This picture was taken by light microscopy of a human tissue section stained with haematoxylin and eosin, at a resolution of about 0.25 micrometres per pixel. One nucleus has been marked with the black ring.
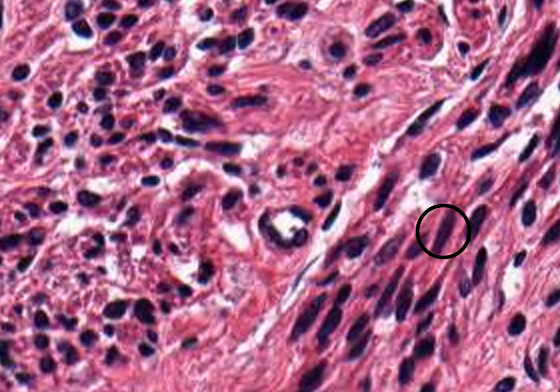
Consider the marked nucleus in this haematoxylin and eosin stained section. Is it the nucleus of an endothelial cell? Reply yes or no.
no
